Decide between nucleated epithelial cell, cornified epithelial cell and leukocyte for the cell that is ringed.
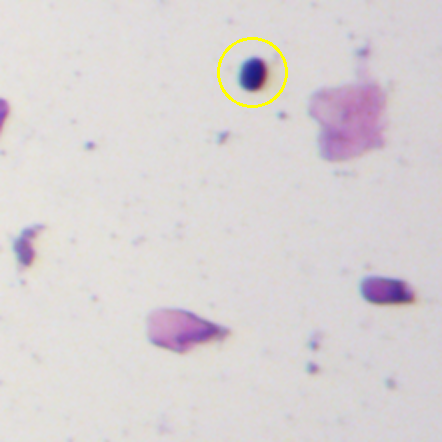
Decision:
I take the ringed cell for a leukocyte.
